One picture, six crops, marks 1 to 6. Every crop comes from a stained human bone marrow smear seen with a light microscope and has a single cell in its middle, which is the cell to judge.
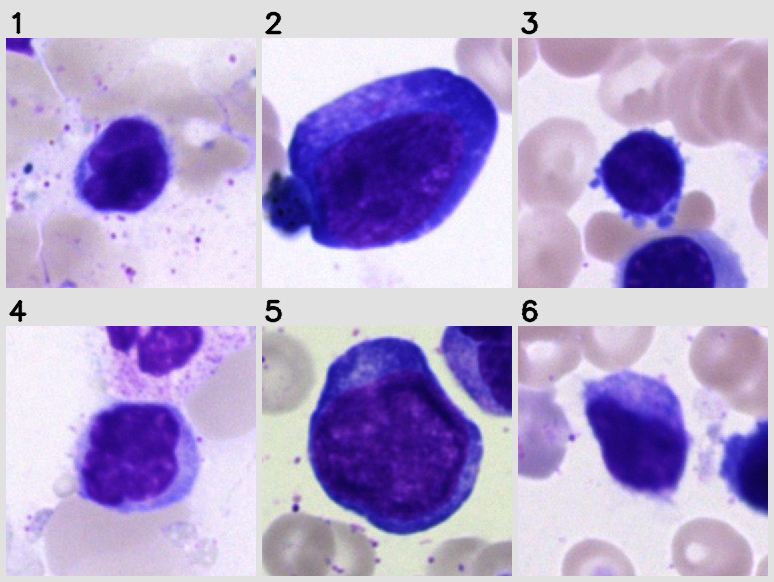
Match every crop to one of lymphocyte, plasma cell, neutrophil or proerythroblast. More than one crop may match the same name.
1: lymphocyte
2: proerythroblast
3: lymphocyte
4: lymphocyte
5: proerythroblast
6: lymphocyte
